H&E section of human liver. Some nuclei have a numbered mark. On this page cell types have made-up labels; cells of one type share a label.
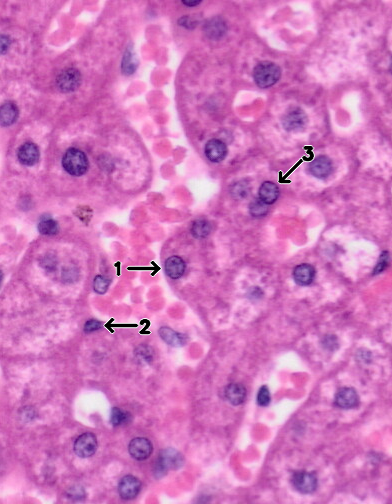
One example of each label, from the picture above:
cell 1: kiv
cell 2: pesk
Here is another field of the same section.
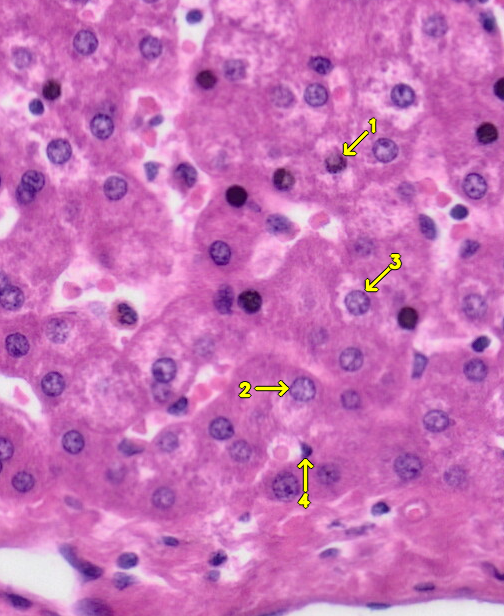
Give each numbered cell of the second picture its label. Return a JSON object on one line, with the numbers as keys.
{"1": "kiv", "2": "kiv", "3": "kiv", "4": "pesk"}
